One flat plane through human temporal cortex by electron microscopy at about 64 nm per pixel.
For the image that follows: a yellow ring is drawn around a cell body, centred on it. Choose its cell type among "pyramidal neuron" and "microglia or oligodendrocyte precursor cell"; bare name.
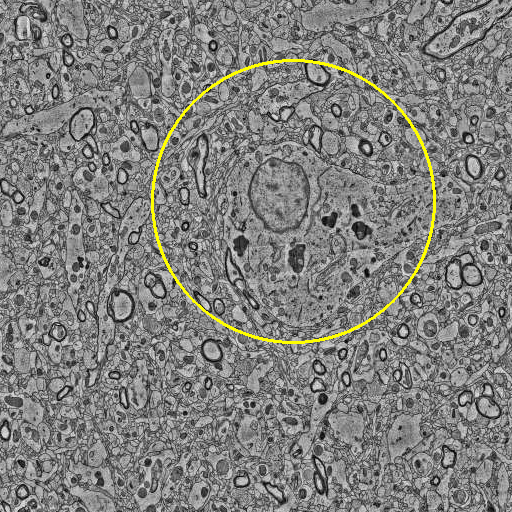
pyramidal neuron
